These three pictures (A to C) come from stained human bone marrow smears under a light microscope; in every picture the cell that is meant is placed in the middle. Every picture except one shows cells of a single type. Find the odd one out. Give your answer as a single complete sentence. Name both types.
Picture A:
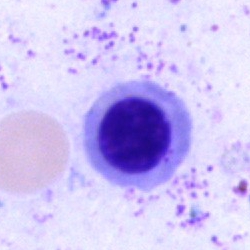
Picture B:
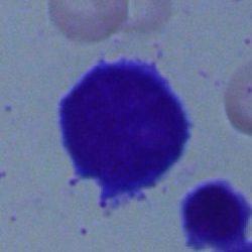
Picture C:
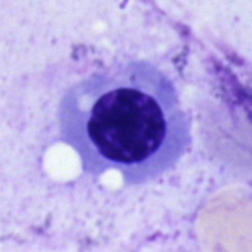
The others show erythroblasts, but picture B shows a blast.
